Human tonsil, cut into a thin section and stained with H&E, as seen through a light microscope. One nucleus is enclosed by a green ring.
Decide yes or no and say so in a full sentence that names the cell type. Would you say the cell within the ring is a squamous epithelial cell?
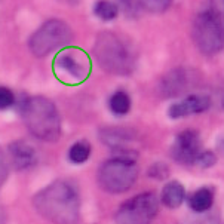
Yes, when classified by type, the cell within the ring is a squamous epithelial cell.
